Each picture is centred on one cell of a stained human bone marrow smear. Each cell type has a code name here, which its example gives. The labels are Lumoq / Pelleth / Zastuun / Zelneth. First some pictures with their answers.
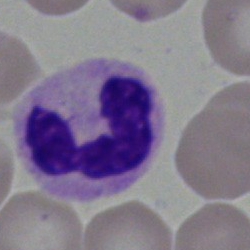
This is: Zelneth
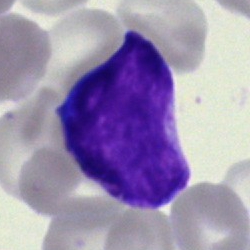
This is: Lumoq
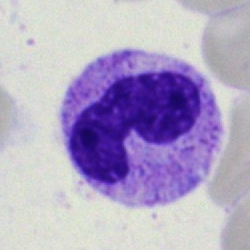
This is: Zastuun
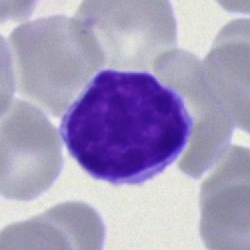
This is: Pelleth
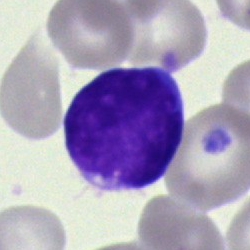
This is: Lumoq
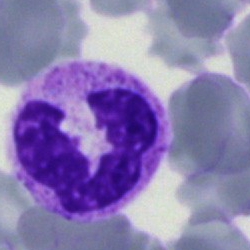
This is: Zelneth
